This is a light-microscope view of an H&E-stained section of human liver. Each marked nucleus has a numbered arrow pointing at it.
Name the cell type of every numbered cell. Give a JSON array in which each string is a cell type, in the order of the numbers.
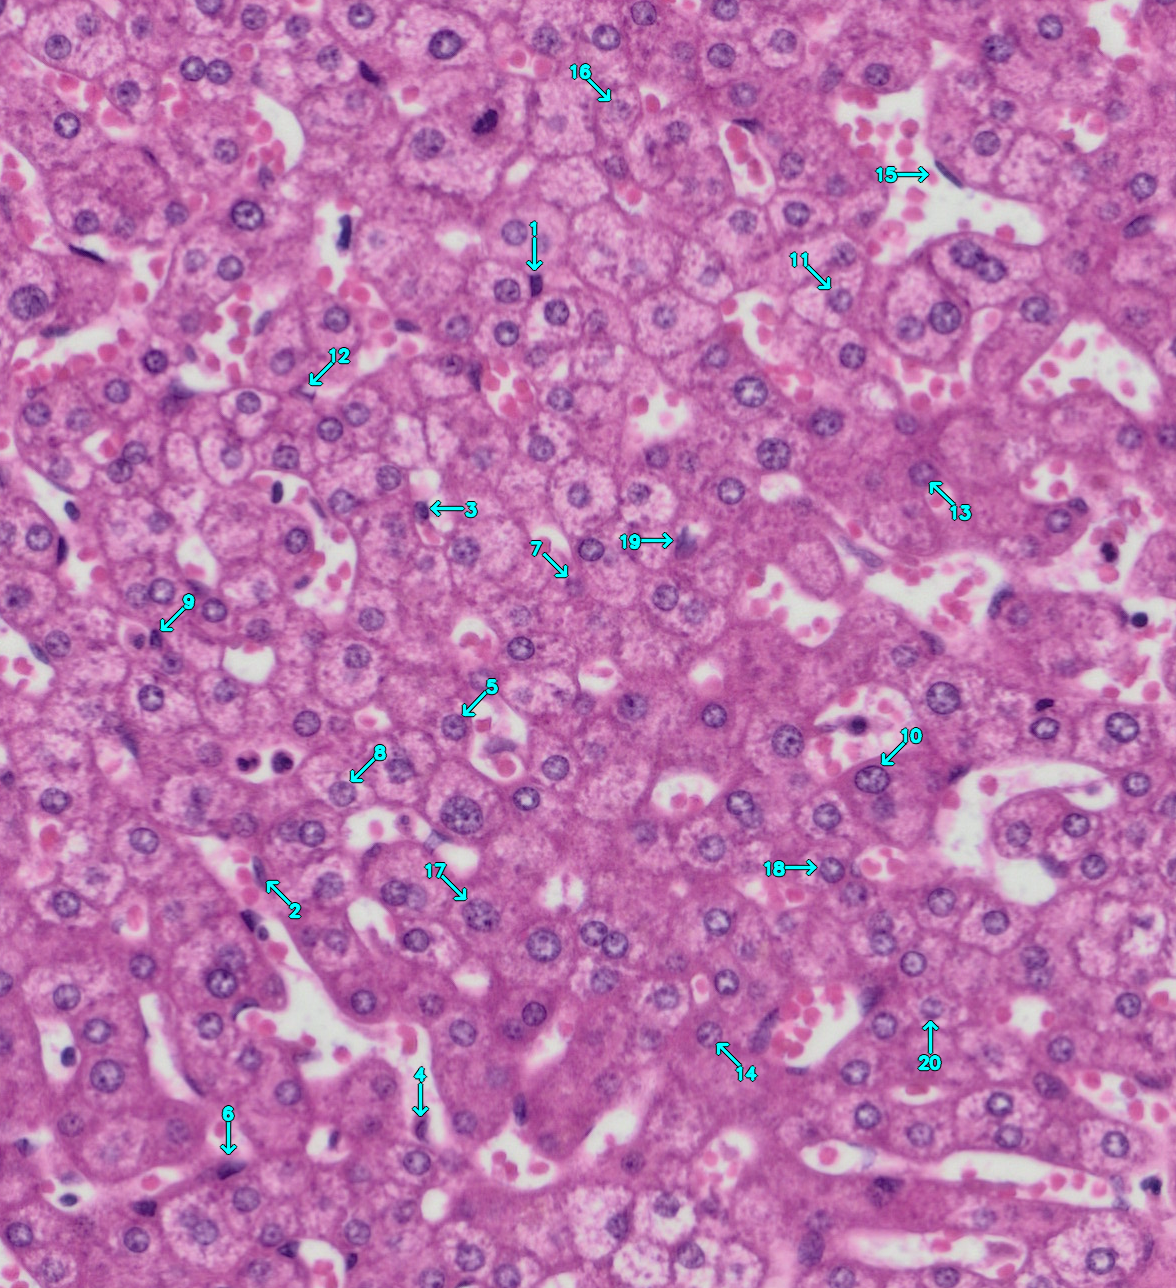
["fibroblast or stellate cell", "endothelial cell", "Kupffer cell", "Kupffer cell", "hepatocyte", "fibroblast or stellate cell", "hepatocyte", "hepatocyte", "fibroblast or stellate cell", "hepatocyte", "hepatocyte", "endothelial cell", "hepatocyte", "hepatocyte", "endothelial cell", "hepatocyte", "hepatocyte", "hepatocyte", "endothelial cell", "hepatocyte"]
